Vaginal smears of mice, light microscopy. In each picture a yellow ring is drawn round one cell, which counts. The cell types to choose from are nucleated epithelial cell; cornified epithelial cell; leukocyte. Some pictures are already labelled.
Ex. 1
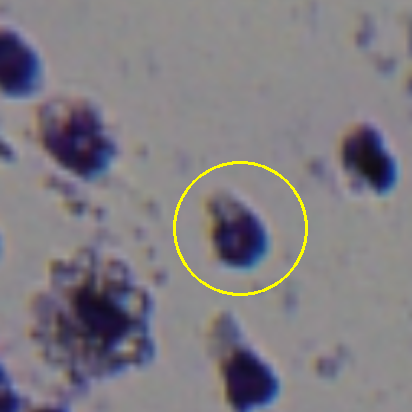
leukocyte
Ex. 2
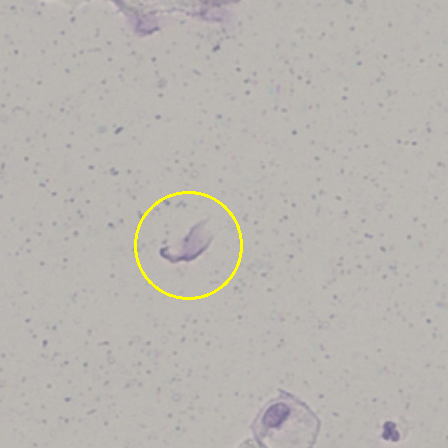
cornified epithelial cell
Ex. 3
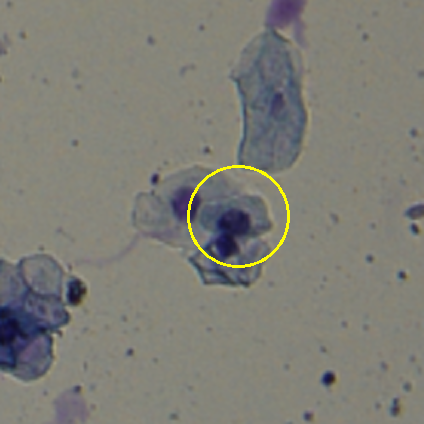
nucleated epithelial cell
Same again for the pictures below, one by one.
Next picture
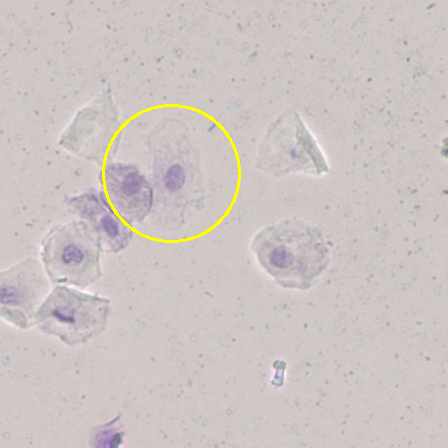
nucleated epithelial cell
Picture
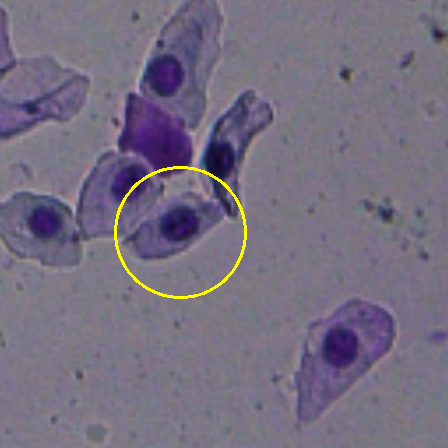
nucleated epithelial cell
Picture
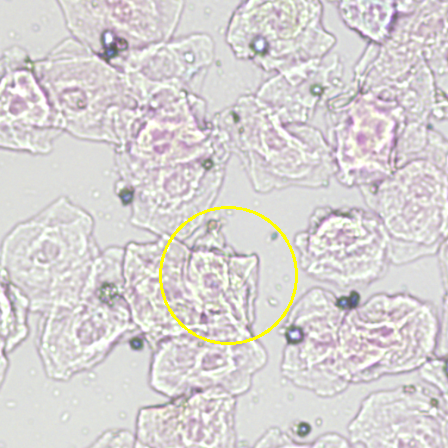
cornified epithelial cell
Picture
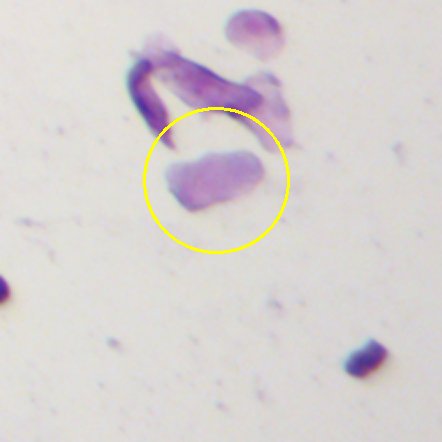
cornified epithelial cell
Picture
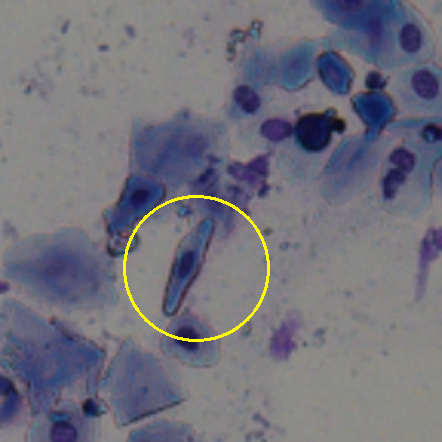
nucleated epithelial cell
